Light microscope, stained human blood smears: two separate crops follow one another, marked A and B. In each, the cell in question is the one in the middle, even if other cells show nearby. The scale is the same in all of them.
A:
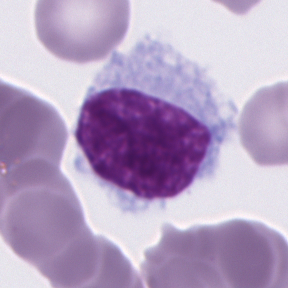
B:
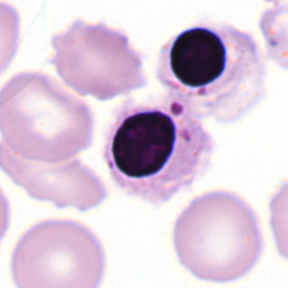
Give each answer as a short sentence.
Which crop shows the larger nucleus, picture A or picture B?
It is the nucleus in picture A, about 3 times as large in area as the one in picture B.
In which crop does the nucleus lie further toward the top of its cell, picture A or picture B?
Seen within its cell, the nucleus in picture B lies further toward the top.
